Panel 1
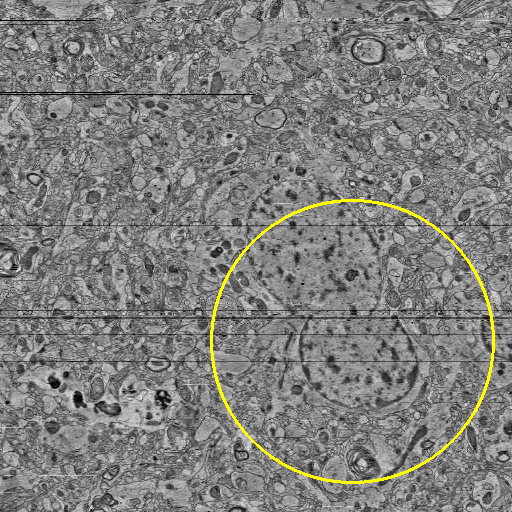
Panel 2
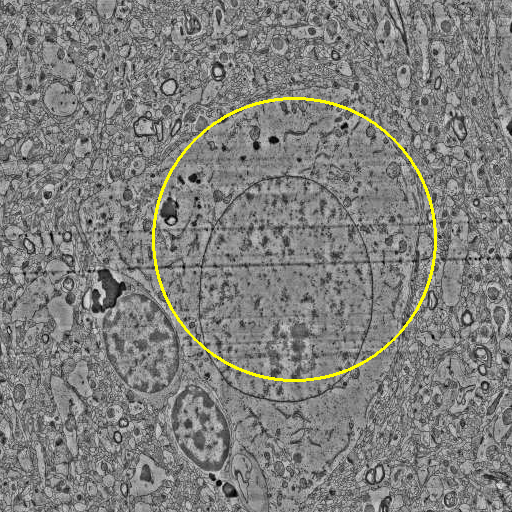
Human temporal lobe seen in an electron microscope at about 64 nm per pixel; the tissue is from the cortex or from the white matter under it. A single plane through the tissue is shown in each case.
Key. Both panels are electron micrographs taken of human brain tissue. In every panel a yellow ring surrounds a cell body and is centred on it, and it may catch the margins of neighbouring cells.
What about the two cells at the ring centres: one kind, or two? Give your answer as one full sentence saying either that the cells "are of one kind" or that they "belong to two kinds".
Across Panels 1 and 2, the two cells at the ring centres belong to two kinds.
